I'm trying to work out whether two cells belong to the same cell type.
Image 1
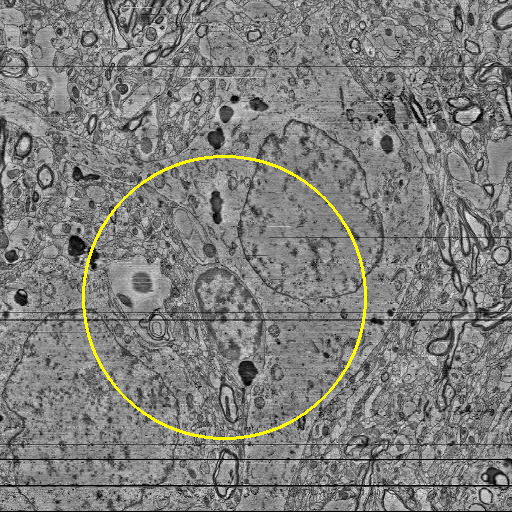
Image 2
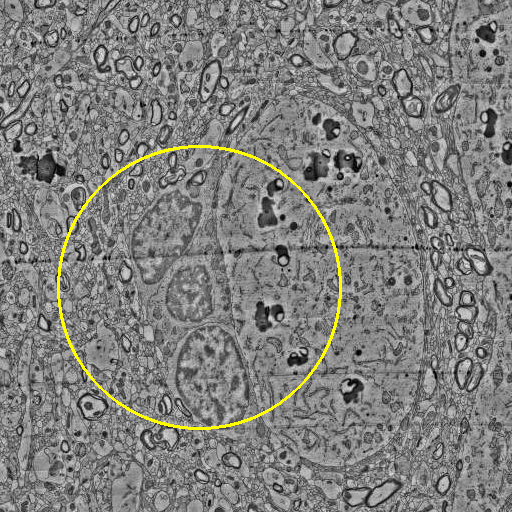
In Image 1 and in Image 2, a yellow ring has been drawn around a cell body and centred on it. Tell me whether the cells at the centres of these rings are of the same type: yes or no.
yes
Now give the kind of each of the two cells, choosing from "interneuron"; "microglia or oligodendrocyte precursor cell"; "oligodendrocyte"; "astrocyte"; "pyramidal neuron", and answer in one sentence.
Each of the two rings surrounds an oligodendrocyte.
